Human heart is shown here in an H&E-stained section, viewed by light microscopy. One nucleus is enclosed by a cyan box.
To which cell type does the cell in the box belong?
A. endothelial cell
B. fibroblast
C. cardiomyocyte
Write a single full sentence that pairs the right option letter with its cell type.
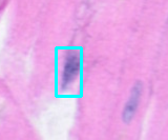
Option A gets it right: the cell in the box is an endothelial cell.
